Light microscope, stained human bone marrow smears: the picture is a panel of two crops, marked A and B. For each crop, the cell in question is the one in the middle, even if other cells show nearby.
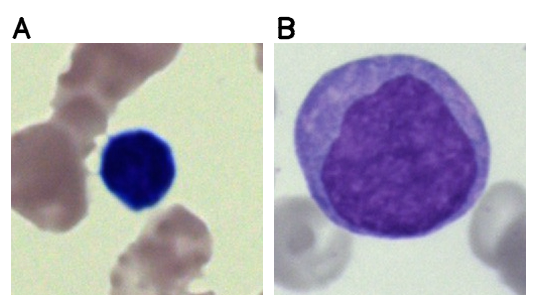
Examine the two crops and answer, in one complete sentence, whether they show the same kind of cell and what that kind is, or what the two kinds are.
No, it is crop A that shows a lymphocyte, and crop B that shows a blast.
